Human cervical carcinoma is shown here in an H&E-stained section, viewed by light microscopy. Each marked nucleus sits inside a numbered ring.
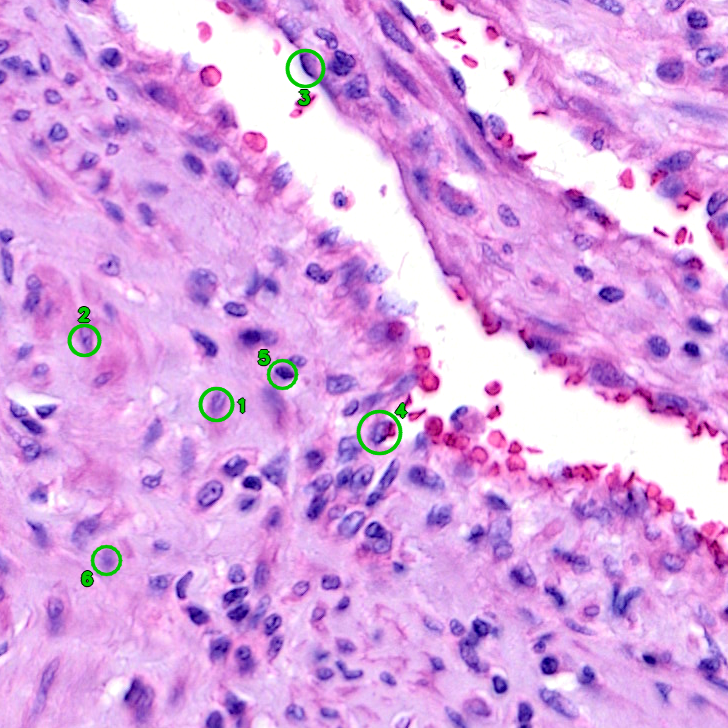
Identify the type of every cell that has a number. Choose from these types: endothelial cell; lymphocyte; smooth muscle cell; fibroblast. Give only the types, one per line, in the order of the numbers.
smooth muscle cell
smooth muscle cell
endothelial cell
endothelial cell
lymphocyte
fibroblast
